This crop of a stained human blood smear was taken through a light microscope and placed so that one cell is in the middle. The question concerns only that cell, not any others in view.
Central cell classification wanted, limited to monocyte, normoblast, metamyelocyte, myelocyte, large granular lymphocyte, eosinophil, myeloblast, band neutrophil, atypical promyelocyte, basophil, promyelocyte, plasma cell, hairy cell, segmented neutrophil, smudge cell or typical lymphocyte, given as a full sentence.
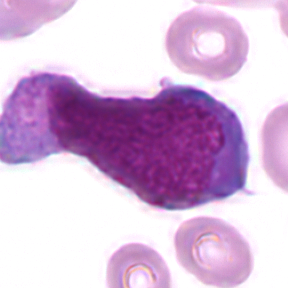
The central element of this crop is a cell, namely an atypical promyelocyte.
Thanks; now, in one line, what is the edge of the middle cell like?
It is the contour of the cell that is irregular, being ragged or projecting outward.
